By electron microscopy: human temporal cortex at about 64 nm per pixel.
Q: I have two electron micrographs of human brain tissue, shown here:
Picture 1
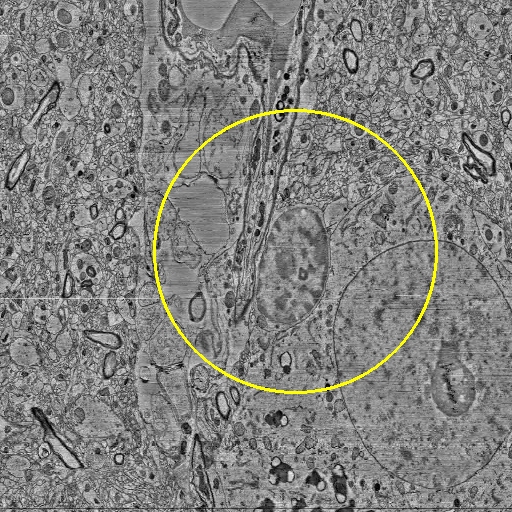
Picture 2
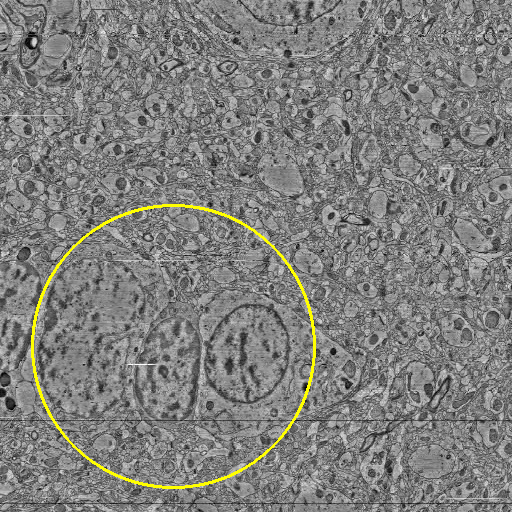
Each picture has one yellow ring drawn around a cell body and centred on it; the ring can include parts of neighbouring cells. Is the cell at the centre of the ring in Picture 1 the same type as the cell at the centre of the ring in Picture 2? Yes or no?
yes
